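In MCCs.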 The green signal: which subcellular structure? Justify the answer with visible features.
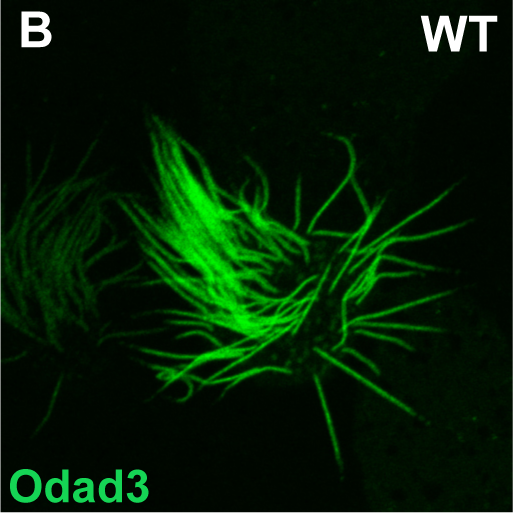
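Green signal runs along many long thin filaments in a tuft. Each green line follows the length of a single hair-like projection.
Answer: axoneme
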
